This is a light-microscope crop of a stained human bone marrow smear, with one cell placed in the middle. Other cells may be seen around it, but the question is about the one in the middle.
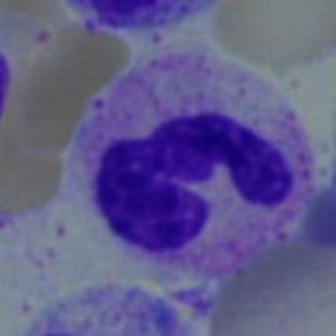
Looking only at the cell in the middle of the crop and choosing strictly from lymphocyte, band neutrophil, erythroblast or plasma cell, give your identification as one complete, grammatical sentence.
The crop shows a band neutrophil in its centre.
